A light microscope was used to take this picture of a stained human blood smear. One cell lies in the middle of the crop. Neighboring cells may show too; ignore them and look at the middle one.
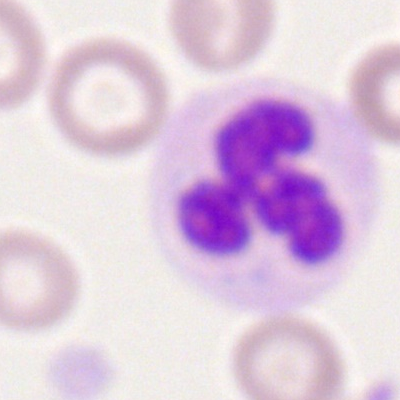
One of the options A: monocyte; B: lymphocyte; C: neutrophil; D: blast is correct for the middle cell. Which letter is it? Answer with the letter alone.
C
